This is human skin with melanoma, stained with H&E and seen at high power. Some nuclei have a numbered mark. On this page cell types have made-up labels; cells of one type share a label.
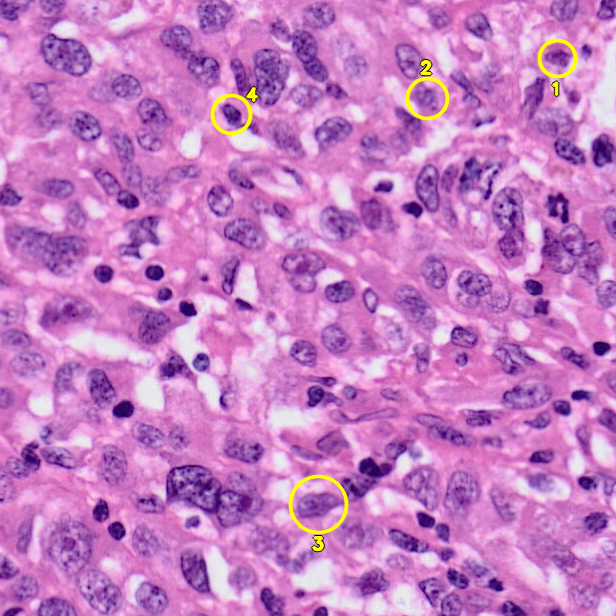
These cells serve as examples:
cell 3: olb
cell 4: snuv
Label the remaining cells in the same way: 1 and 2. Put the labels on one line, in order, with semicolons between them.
olb; olb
